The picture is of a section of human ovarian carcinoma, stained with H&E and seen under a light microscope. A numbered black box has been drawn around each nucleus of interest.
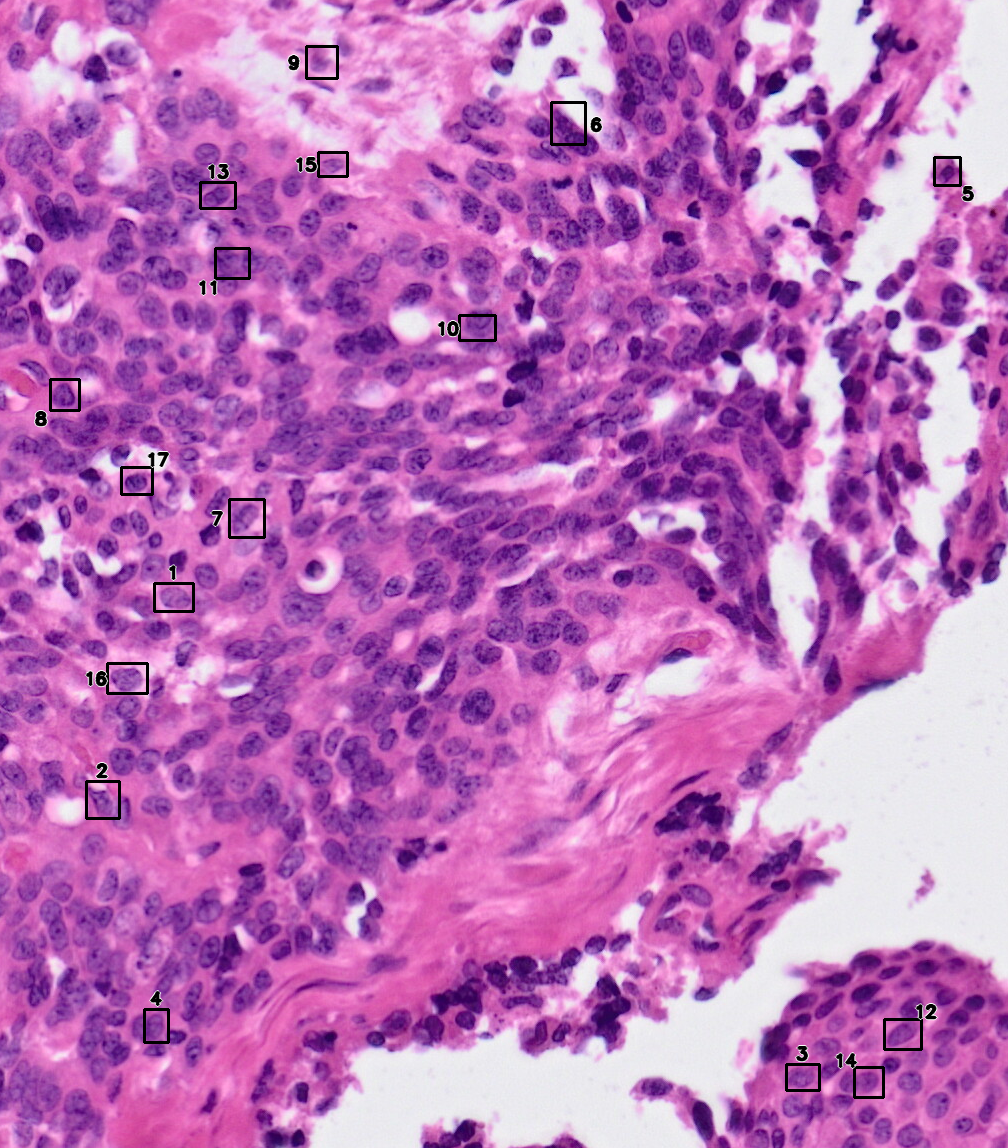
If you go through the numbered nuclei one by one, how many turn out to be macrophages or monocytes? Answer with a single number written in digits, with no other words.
6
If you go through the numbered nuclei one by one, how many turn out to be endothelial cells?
1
